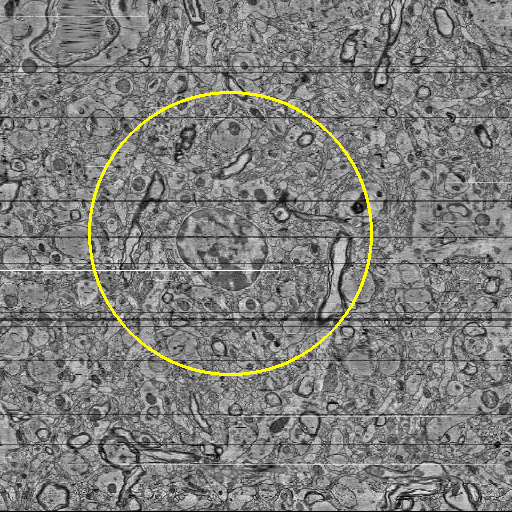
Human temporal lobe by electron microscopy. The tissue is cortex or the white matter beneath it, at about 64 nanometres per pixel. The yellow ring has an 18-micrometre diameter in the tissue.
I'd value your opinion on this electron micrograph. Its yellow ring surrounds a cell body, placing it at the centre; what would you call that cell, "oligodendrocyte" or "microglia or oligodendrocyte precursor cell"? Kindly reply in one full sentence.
It is a microglial cell or oligodendrocyte precursor cell that sits centred within the yellow ring in this micrograph.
